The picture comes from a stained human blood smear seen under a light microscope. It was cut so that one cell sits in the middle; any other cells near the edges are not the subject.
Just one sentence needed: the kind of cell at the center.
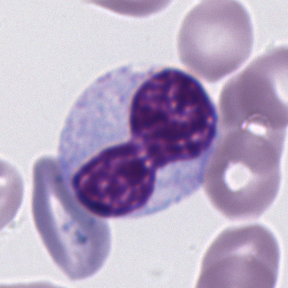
Standing at the centre of this crop is a band neutrophil.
